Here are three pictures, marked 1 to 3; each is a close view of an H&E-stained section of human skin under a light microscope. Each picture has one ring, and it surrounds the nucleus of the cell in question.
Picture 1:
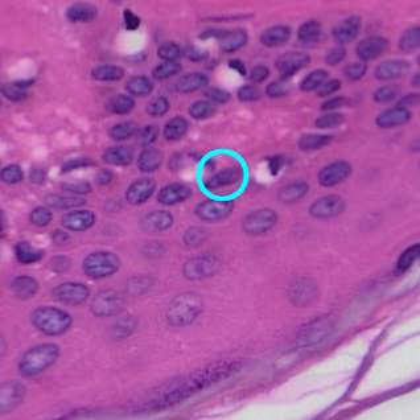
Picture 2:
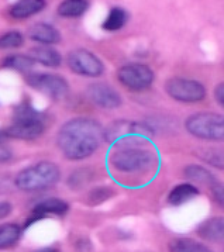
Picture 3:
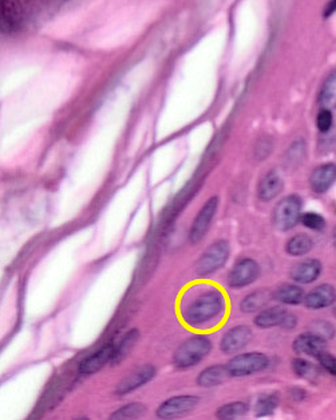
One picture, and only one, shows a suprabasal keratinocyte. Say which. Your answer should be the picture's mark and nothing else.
3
